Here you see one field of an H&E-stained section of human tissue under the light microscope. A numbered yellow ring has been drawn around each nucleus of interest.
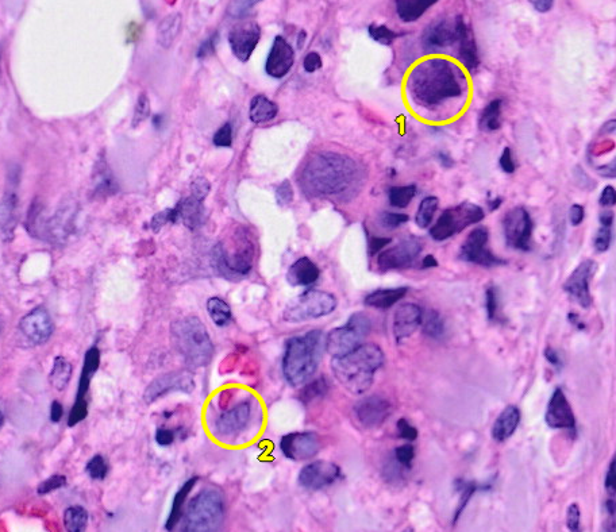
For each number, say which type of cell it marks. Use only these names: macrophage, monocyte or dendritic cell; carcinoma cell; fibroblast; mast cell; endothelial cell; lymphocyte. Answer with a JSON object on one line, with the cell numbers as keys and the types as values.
{"1": "carcinoma cell", "2": "endothelial cell"}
